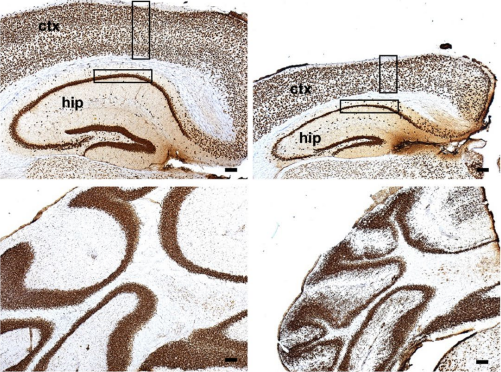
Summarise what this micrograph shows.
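In the cortex, brown nuclei fill a broad band beneath the surface and sit above pale white matter. In the hippocampus, the neurons form a thin, sharply outlined curving dark line. In the cerebellum, each folium carries a thick, densely packed dark brown band of granular cells, with pale tissue on either side. In the right-hand images, the cortical band is thinner and less orderly, and the cerebellar folia are crowded and irregular.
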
